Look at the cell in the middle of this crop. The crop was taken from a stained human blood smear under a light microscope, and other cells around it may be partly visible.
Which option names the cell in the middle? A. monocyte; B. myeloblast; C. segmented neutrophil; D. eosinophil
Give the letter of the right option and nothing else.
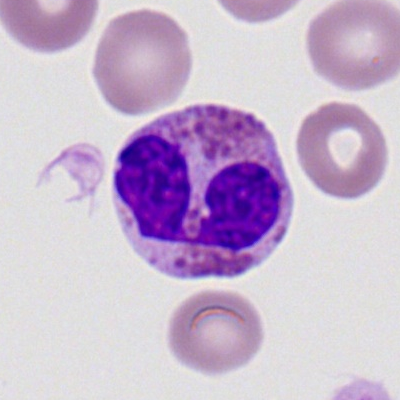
D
